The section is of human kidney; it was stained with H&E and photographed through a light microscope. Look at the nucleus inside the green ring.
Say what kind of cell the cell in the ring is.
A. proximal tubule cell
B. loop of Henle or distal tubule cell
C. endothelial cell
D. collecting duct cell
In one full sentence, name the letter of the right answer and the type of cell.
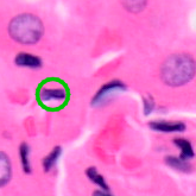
Option C is the right choice, for the cell in the ring is an endothelial cell.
